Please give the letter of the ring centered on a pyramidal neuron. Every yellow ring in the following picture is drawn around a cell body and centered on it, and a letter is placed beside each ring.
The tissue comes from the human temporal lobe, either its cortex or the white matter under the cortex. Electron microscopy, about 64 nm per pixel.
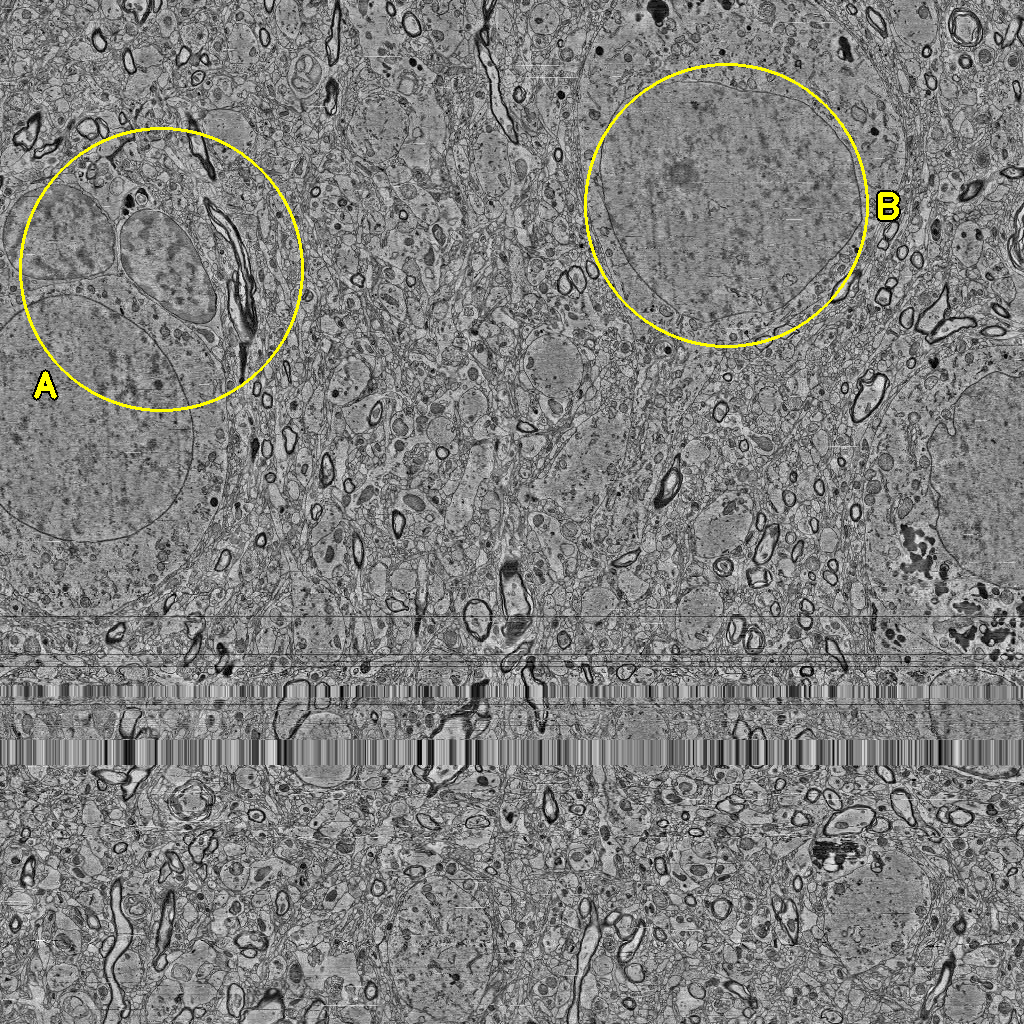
B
